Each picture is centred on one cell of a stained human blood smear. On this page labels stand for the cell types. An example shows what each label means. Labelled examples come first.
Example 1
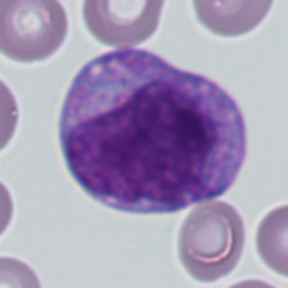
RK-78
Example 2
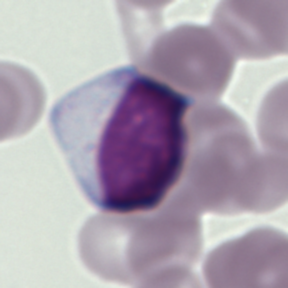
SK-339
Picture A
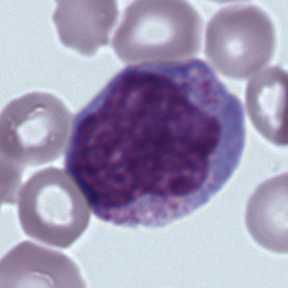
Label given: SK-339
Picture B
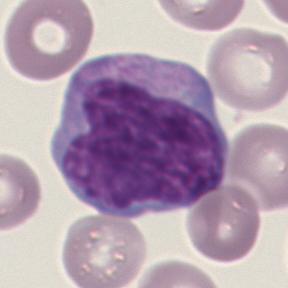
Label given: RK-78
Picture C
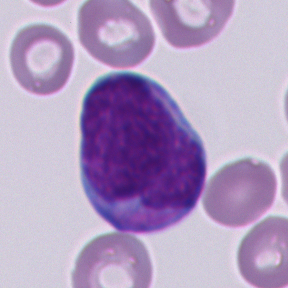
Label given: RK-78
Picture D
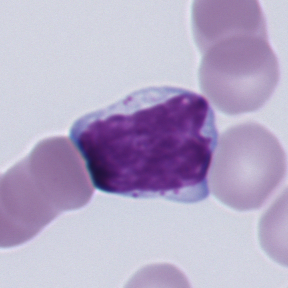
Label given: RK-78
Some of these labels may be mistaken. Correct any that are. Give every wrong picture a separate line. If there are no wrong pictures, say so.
A should be RK-78, not SK-339
D should be SK-339, not RK-78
